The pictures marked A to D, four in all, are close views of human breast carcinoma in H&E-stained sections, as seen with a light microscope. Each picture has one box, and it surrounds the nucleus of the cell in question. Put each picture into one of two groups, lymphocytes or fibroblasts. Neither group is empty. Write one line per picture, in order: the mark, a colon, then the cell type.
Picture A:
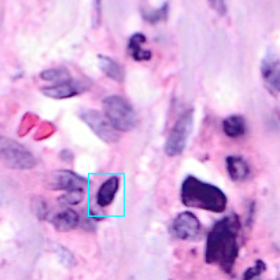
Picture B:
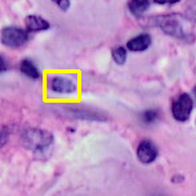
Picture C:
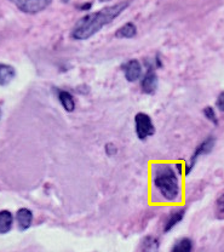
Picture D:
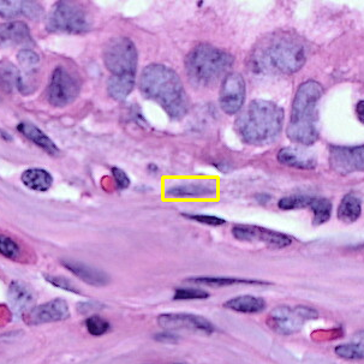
A: lymphocyte
B: lymphocyte
C: lymphocyte
D: fibroblast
